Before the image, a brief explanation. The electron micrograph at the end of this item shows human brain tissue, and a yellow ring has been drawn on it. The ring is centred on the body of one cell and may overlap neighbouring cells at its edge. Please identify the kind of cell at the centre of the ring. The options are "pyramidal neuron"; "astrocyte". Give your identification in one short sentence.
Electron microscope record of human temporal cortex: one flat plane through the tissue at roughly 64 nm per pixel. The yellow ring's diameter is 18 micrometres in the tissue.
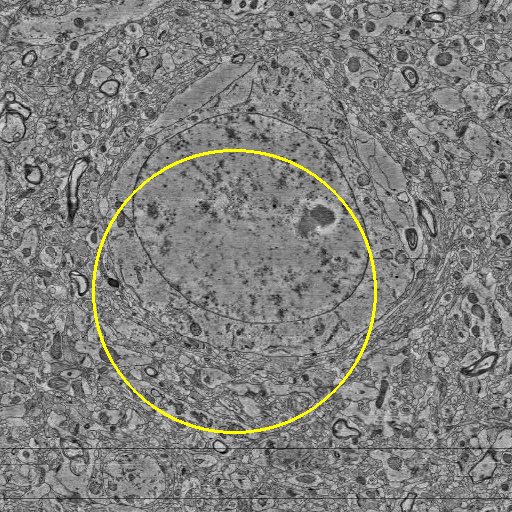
The ring has been placed around a pyramidal neuron.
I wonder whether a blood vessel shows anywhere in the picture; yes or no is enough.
No, none is visible.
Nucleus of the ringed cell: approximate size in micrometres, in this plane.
The ringed cell's nucleus measures approximately 16 by 14 micrometres in this plane.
